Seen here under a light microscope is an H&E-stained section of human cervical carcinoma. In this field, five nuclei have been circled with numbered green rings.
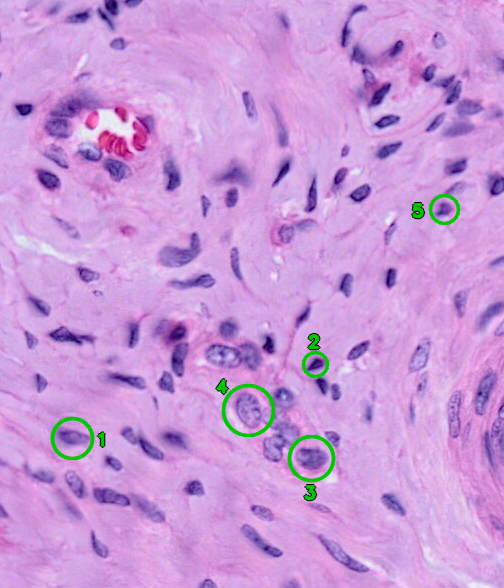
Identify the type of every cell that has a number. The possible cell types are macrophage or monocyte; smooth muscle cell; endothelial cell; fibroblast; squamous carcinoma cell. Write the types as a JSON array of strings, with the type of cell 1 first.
["fibroblast", "fibroblast", "endothelial cell", "endothelial cell", "fibroblast"]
